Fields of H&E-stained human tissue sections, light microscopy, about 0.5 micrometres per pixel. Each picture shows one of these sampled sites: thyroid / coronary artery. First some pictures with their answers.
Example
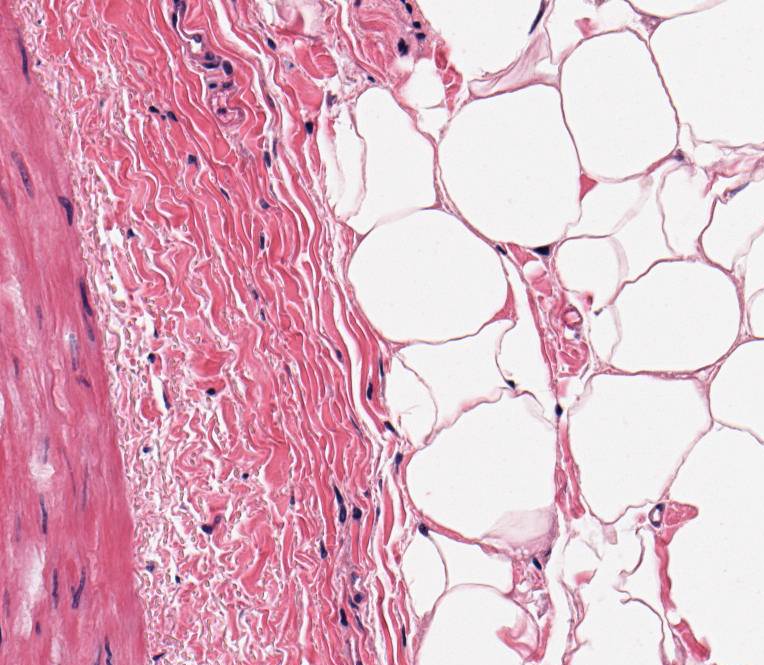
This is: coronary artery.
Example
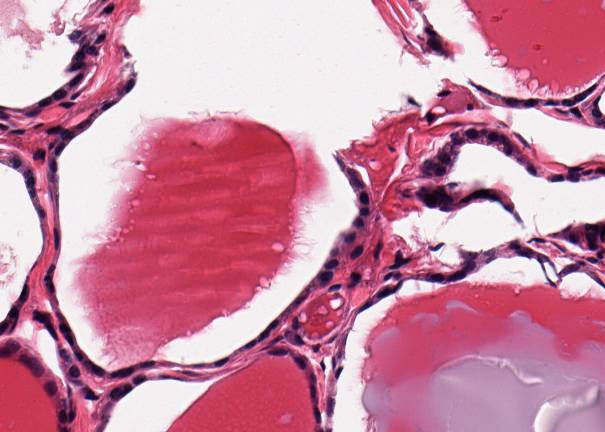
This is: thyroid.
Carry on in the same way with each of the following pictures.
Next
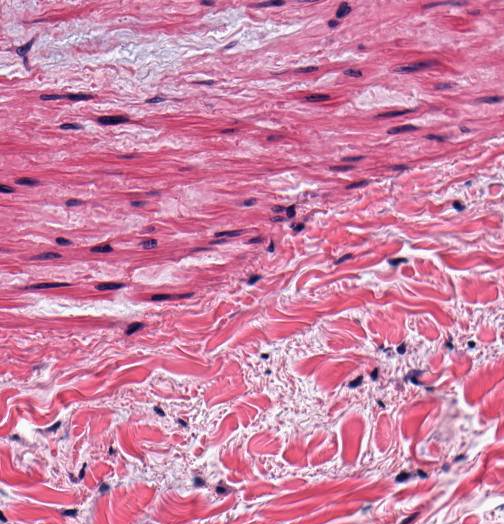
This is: coronary artery.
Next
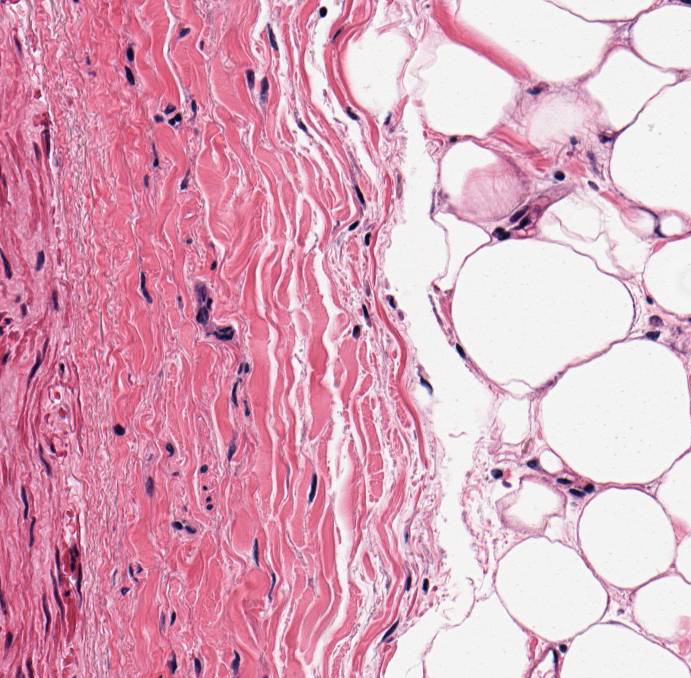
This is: coronary artery.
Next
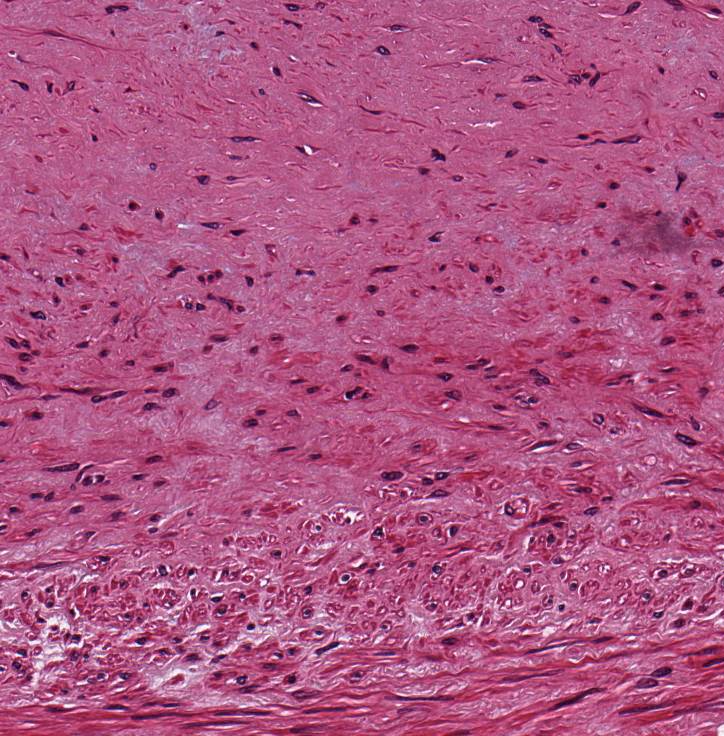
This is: coronary artery.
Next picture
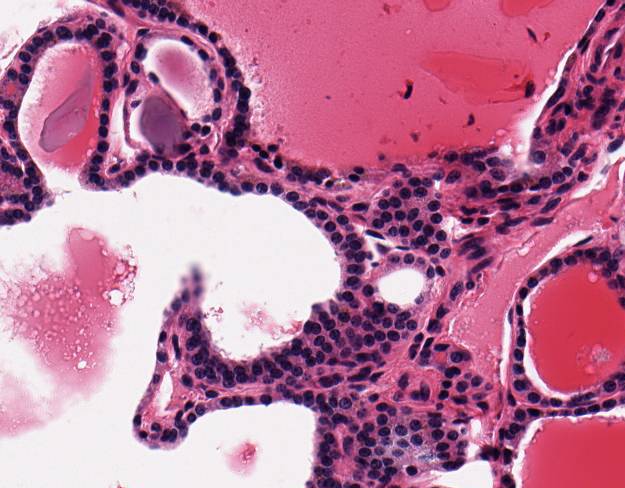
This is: thyroid.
